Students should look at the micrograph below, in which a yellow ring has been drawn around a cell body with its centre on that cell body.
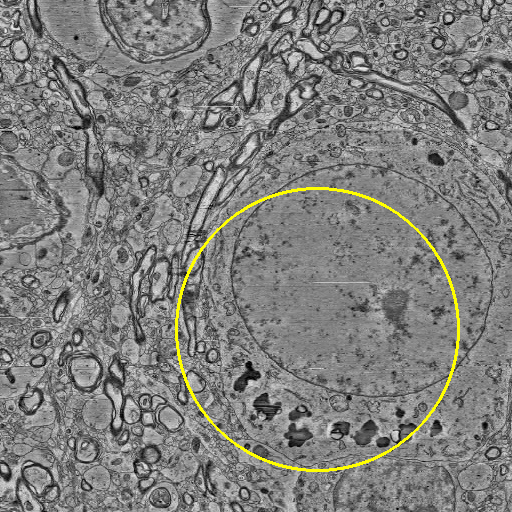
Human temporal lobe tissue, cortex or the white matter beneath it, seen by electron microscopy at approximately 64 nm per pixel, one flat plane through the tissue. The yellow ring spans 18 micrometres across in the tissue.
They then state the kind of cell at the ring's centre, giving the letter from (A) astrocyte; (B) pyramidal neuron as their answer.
B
